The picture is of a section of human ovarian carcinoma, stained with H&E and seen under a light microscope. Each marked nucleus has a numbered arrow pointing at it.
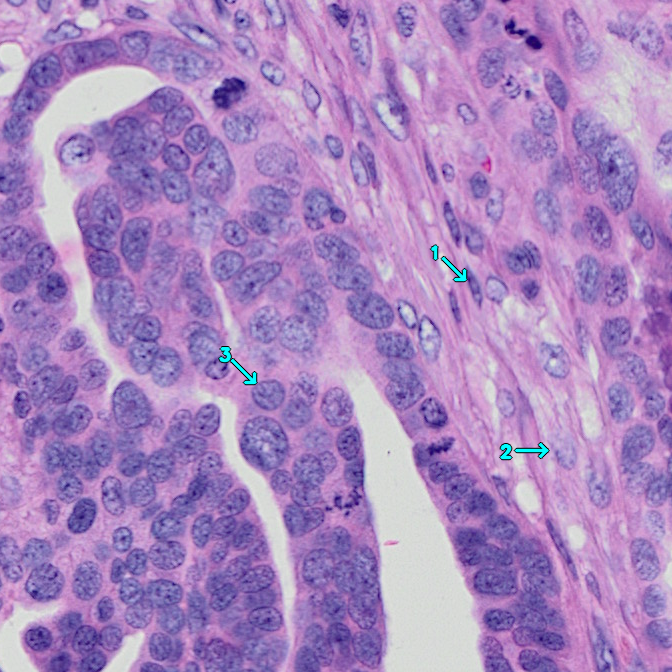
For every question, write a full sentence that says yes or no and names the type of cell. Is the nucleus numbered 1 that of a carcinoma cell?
No, with respect, cell 1 is a fibroblast rather than a carcinoma cell.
